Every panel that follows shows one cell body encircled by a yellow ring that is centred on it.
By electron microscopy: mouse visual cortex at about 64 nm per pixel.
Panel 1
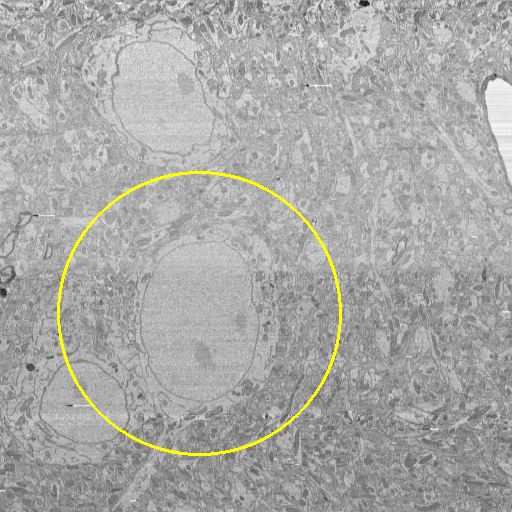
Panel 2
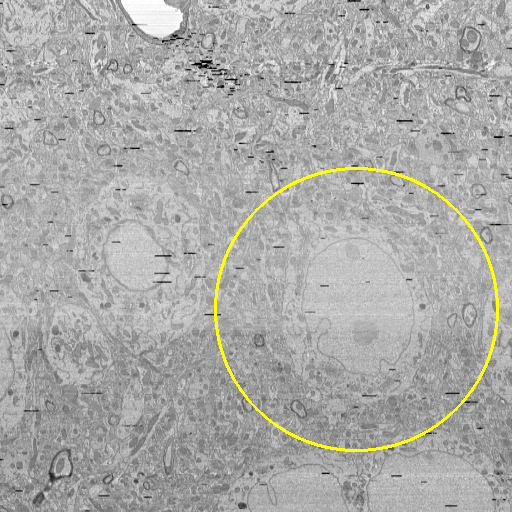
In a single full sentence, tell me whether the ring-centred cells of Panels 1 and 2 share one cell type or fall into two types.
In Panel 1 and Panel 2, the cells at the ring centres share one cell type.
